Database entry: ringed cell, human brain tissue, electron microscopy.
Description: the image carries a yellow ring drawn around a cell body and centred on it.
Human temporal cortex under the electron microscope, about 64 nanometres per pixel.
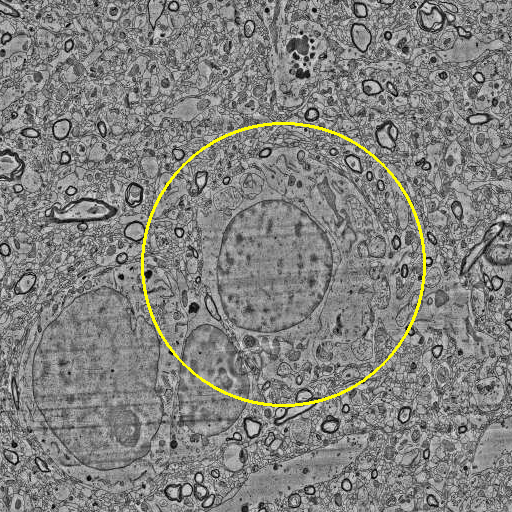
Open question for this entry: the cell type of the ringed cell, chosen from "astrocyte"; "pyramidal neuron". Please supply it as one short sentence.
The ringed cell is an astrocyte.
